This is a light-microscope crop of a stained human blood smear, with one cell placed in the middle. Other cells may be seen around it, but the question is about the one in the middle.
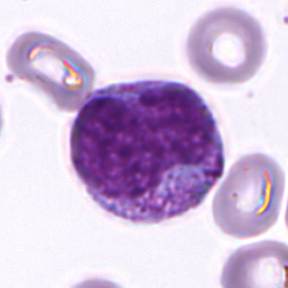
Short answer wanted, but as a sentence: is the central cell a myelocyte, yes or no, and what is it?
Yes, the middle cell of the field is a myelocyte.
